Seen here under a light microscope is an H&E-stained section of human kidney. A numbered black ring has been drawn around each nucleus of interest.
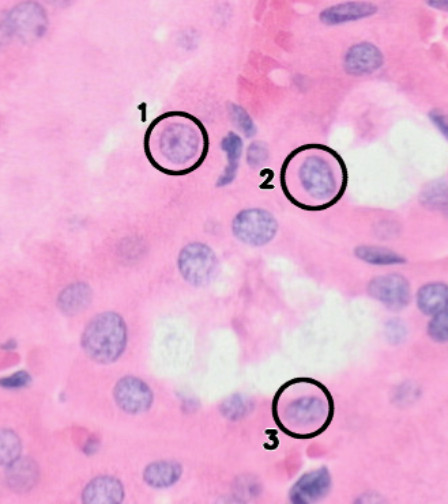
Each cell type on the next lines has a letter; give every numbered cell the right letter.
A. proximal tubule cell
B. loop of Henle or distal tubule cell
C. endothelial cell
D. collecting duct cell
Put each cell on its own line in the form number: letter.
1: A
2: B
3: B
